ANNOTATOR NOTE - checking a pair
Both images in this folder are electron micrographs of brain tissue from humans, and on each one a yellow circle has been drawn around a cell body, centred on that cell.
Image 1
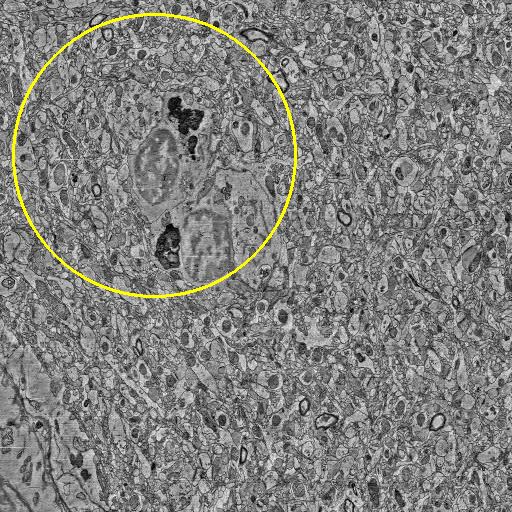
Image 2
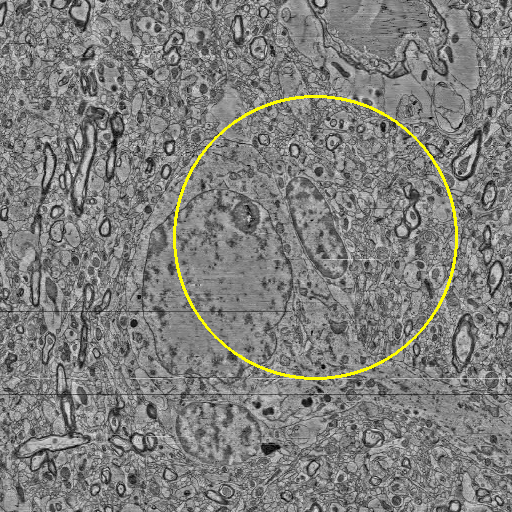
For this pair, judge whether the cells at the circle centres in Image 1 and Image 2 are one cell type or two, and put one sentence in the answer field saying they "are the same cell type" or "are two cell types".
For this pair, the cells at the circle centres in Images 1 and 2 are two cell types.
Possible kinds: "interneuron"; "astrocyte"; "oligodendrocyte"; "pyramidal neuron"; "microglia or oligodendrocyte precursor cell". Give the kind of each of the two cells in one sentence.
The cell in the second picture is a microglial cell or oligodendrocyte precursor cell, and that in the first is an oligodendrocyte.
